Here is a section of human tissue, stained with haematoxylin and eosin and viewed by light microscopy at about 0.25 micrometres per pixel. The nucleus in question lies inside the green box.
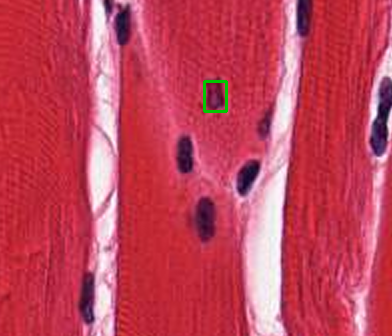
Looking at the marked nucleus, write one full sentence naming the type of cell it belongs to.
The marked nucleus is recognized as the nucleus of a skeletal muscle fibre.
